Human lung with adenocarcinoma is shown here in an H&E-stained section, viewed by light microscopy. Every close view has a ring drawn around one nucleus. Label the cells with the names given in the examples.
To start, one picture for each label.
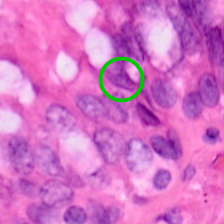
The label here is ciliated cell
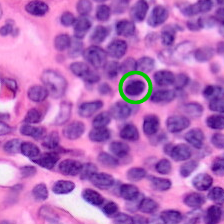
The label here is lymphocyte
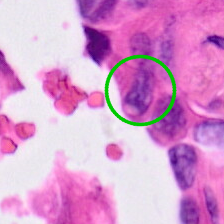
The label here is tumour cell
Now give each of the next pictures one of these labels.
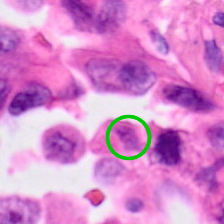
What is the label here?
tumour cell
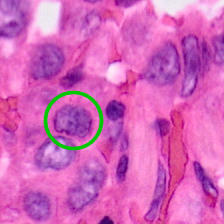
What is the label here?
tumour cell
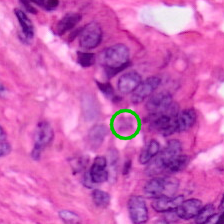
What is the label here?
ciliated cell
